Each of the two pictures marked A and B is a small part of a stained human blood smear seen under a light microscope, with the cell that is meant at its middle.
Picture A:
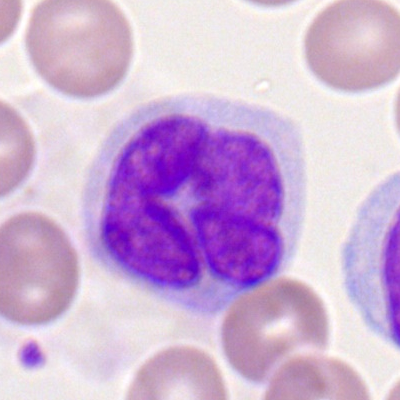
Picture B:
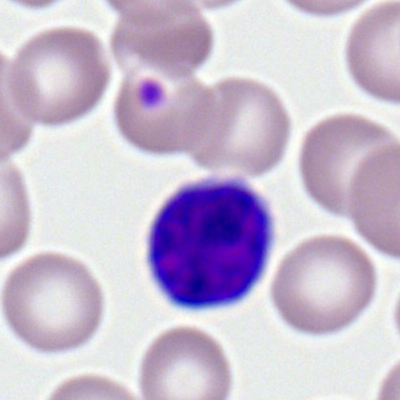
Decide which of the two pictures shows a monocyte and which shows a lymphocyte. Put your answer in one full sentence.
It is picture A that shows a monocyte, and picture B that shows a lymphocyte.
